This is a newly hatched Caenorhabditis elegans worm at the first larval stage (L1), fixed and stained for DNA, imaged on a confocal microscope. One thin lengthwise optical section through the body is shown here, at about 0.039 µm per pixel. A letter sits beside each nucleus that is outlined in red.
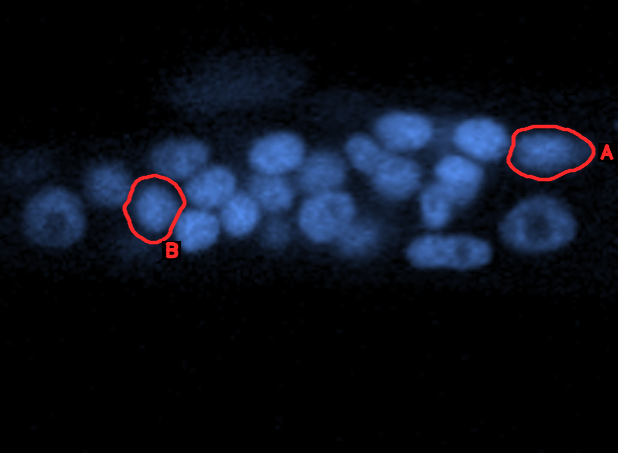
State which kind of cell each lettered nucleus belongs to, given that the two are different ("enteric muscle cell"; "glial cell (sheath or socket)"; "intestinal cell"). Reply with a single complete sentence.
One is from an enteric muscle cell, namely A, and the other, B, is from a glial cell (sheath or socket).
